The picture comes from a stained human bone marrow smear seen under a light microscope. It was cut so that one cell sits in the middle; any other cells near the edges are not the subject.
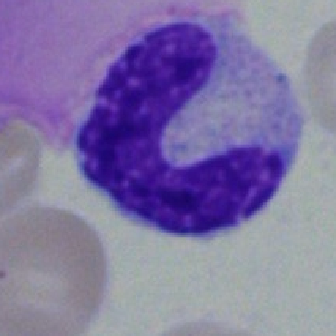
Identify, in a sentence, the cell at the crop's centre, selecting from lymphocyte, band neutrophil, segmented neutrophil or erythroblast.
The middle of this crop holds a band neutrophil.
